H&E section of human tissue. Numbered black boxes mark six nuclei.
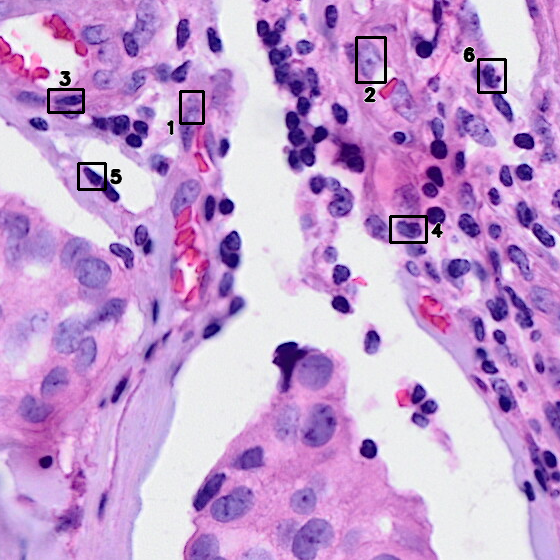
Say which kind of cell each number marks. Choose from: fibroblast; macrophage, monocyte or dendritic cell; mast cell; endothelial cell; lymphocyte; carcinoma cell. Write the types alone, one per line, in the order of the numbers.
endothelial cell
endothelial cell
endothelial cell
lymphocyte
lymphocyte
lymphocyte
